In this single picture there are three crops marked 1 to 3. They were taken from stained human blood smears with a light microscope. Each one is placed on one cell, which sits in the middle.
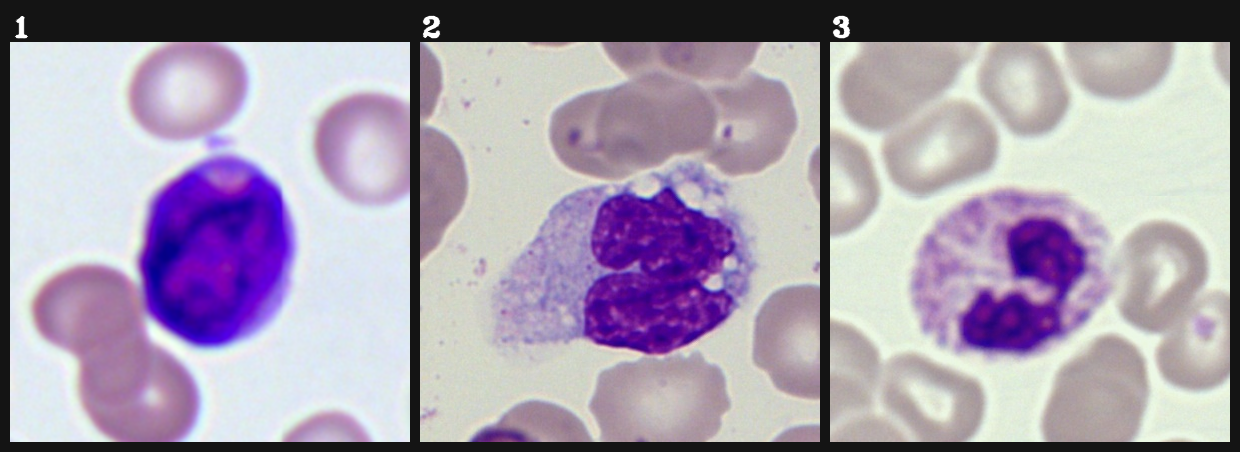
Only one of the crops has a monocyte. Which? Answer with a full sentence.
Of the crops given, a monocyte is found in crop 2.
